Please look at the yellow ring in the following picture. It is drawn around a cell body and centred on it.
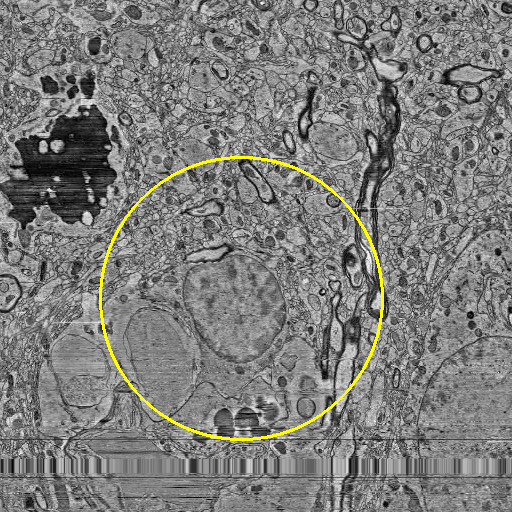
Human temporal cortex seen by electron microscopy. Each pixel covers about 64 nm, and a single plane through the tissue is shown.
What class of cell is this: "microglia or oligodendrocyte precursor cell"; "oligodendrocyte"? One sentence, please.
The ring surrounds the cell body of an oligodendrocyte.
